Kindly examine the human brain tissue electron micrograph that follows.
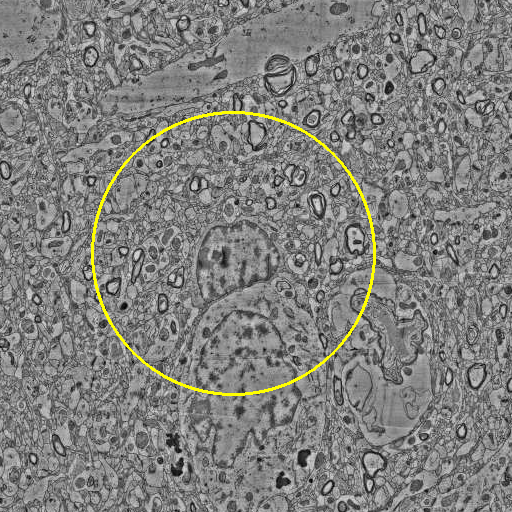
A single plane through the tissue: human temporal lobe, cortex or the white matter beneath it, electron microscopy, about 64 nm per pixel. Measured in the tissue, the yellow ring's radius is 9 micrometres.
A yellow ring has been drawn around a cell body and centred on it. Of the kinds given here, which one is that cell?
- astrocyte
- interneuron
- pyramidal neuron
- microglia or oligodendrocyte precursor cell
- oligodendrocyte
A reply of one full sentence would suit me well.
The micrograph's ringed cell, the one at the ring's centre, is an oligodendrocyte.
